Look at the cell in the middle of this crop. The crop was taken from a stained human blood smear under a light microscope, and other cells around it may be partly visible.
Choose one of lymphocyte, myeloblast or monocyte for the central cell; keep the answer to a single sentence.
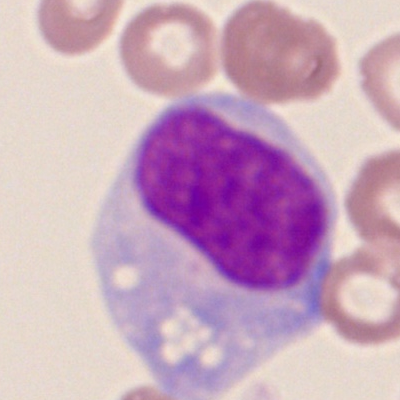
The cell marked by its central position in the crop is a monocyte.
